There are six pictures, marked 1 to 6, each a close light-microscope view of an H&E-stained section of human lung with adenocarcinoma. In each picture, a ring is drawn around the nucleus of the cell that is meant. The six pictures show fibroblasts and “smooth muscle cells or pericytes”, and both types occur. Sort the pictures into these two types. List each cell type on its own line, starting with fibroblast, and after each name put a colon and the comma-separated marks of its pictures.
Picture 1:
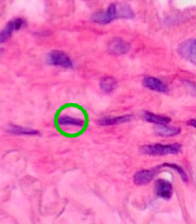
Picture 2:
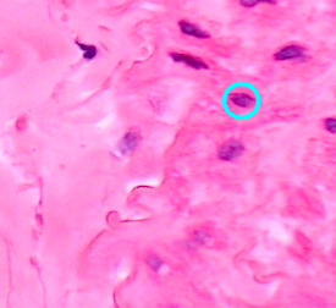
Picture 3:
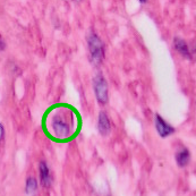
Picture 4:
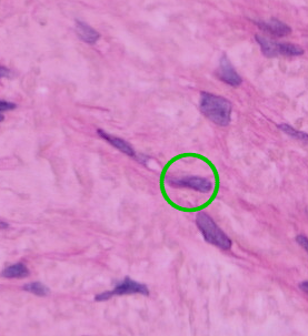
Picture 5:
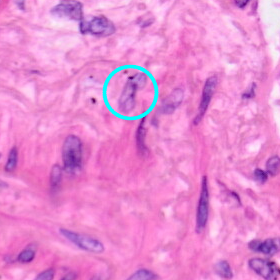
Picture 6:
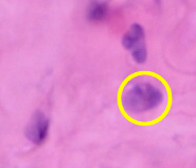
fibroblast: 5, 6
smooth muscle cell or pericyte: 1, 2, 3, 4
